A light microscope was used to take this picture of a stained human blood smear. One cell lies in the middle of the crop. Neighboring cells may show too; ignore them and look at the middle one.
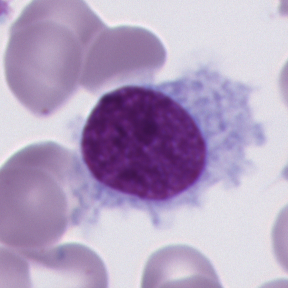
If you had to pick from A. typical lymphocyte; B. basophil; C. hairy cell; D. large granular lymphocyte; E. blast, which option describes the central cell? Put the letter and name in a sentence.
The central cell is a hairy cell, which makes option C the right answer.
